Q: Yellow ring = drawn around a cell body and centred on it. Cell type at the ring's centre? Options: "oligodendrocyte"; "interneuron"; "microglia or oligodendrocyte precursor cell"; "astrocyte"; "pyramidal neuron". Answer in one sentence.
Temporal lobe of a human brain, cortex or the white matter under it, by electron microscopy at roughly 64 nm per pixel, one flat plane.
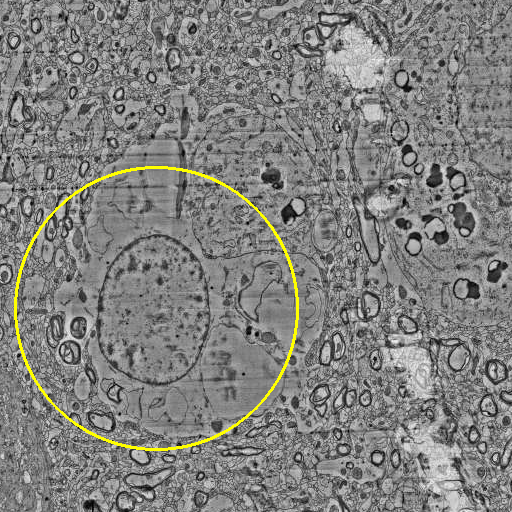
Centred in the ring is an astrocyte.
